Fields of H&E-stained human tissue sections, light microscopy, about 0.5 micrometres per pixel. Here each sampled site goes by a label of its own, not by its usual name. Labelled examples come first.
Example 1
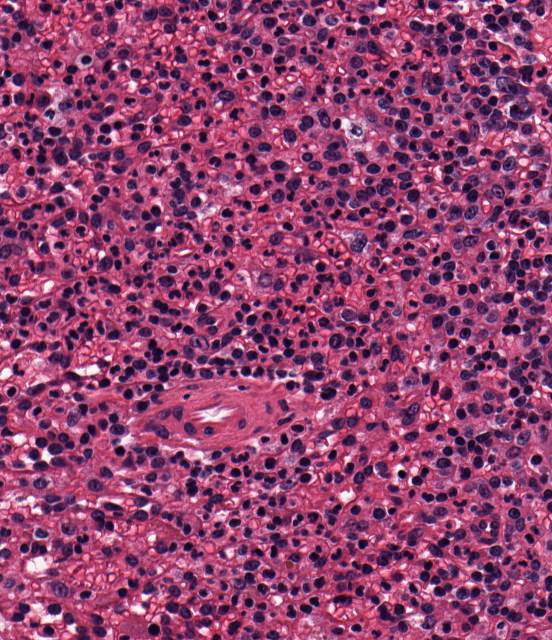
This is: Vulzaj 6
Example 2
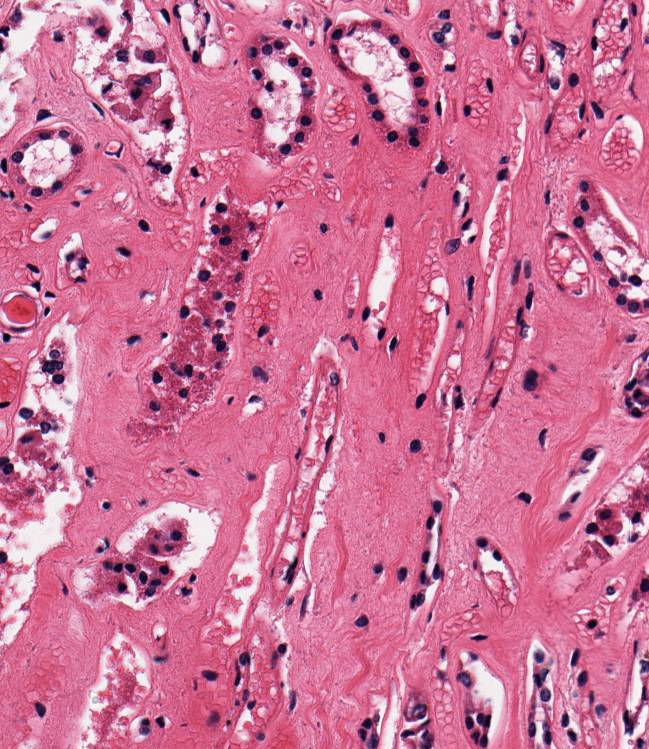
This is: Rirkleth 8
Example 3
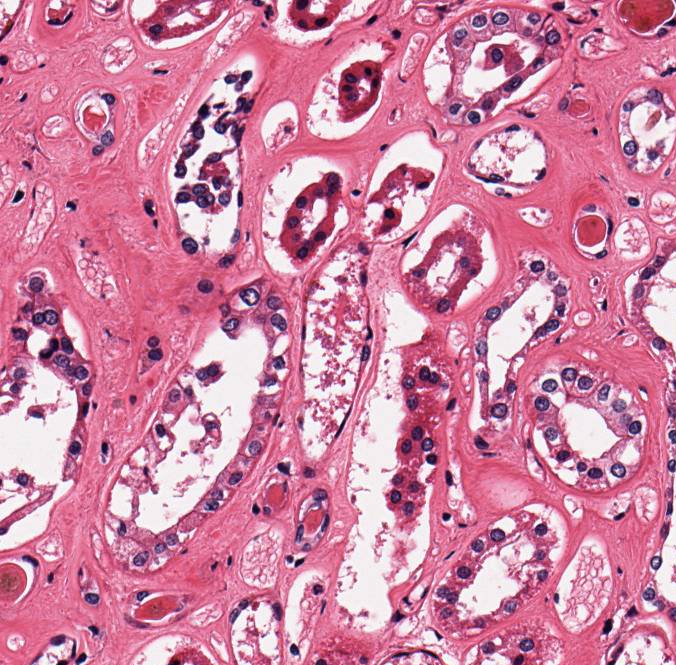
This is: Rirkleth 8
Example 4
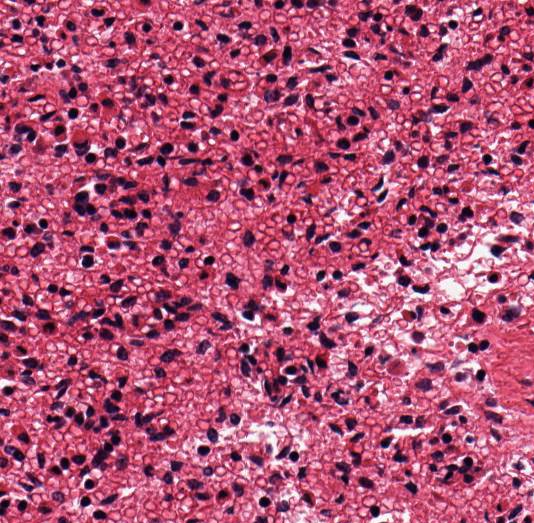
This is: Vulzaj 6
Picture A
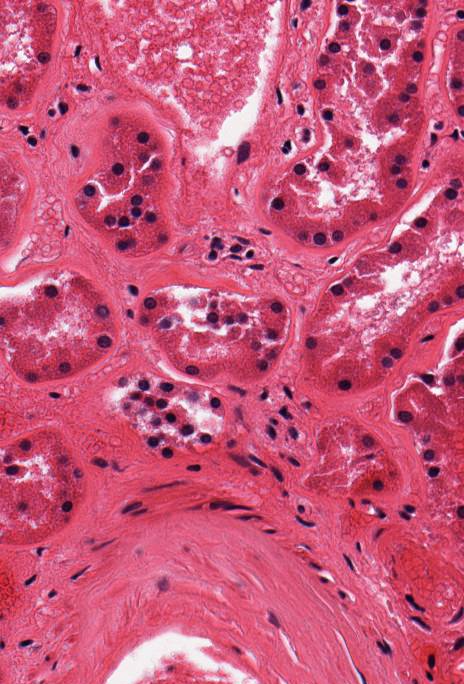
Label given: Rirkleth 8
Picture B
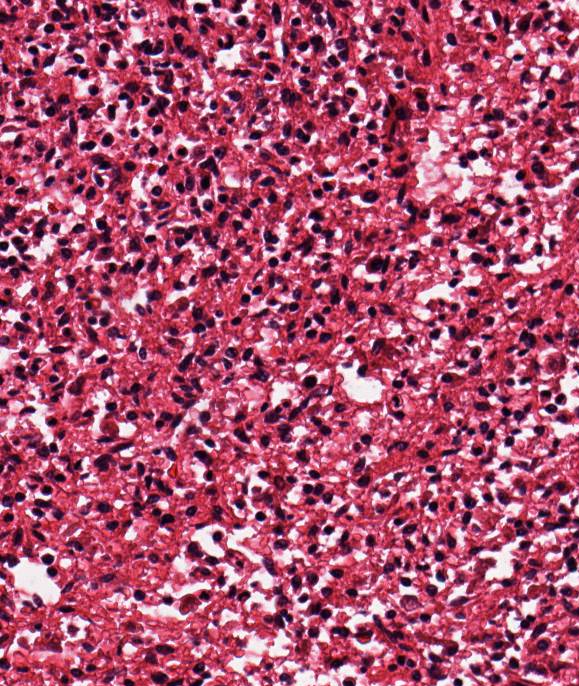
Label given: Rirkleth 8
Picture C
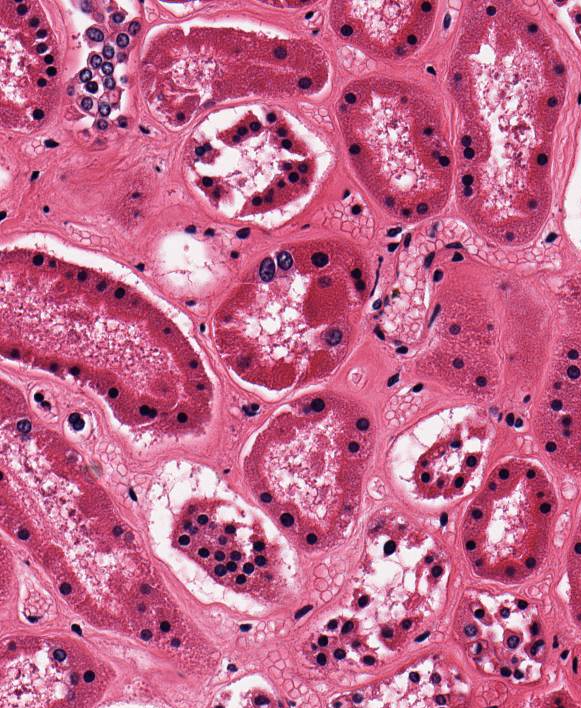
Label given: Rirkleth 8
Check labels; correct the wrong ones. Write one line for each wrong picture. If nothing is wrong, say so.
B: change Rirkleth 8 to Vulzaj 6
